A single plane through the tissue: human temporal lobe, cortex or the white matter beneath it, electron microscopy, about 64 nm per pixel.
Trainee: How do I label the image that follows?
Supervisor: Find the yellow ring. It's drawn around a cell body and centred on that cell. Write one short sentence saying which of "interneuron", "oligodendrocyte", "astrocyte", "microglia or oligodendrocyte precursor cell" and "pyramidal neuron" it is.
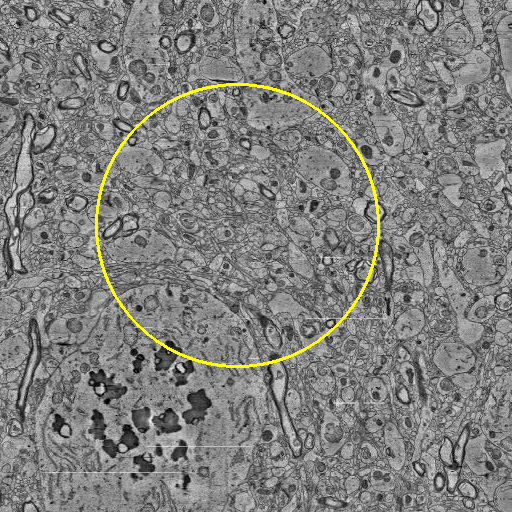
This is the cell body of an oligodendrocyte.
